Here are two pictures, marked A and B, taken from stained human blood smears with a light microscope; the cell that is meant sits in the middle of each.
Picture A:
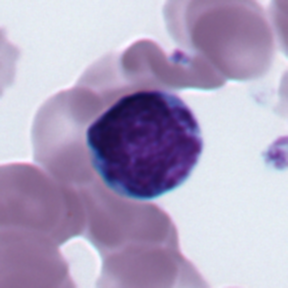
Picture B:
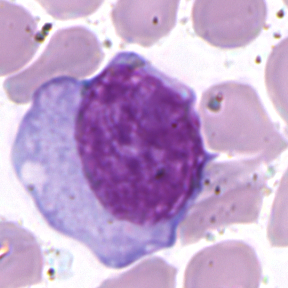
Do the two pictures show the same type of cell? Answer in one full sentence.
No; the cell in picture A is a typical lymphocyte, while the one in picture B is a plasma cell.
